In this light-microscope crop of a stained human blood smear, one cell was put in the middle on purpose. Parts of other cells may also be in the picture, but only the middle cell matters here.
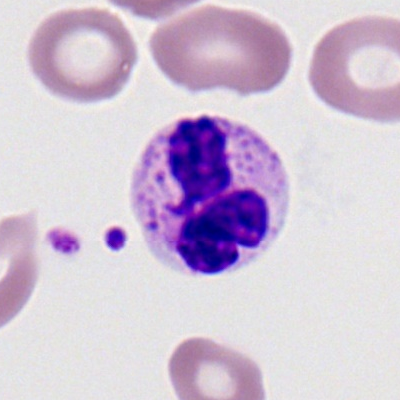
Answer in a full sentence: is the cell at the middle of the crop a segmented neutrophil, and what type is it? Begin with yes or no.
Yes, the middle cell is properly termed a segmented neutrophil.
